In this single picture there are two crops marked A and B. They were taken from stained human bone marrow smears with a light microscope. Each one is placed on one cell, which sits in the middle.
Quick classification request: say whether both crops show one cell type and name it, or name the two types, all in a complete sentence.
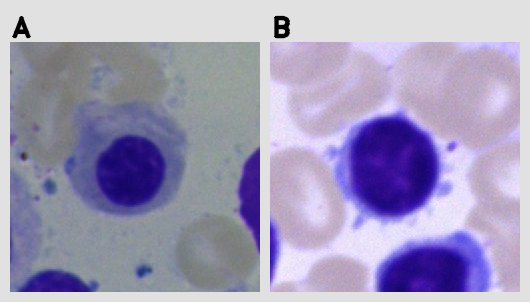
No, the cells are a normoblast in crop A and a lymphocyte in crop B.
